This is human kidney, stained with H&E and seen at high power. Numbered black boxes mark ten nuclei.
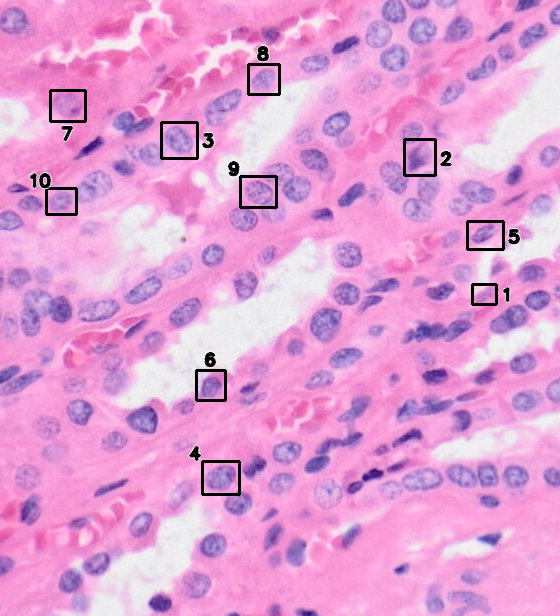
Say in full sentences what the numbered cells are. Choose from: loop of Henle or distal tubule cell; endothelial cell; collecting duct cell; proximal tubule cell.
Cell 1 is a loop of Henle or distal tubule cell, cell 2 is a collecting duct cell, cell 3 is a collecting duct cell, cell 4 is a loop of Henle or distal tubule cell, cell 5 is a loop of Henle or distal tubule cell, cell 6 is a loop of Henle or distal tubule cell, cell 7 is a proximal tubule cell, cell 8 is a collecting duct cell, cell 9 is a collecting duct cell and cell 10 is a collecting duct cell.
